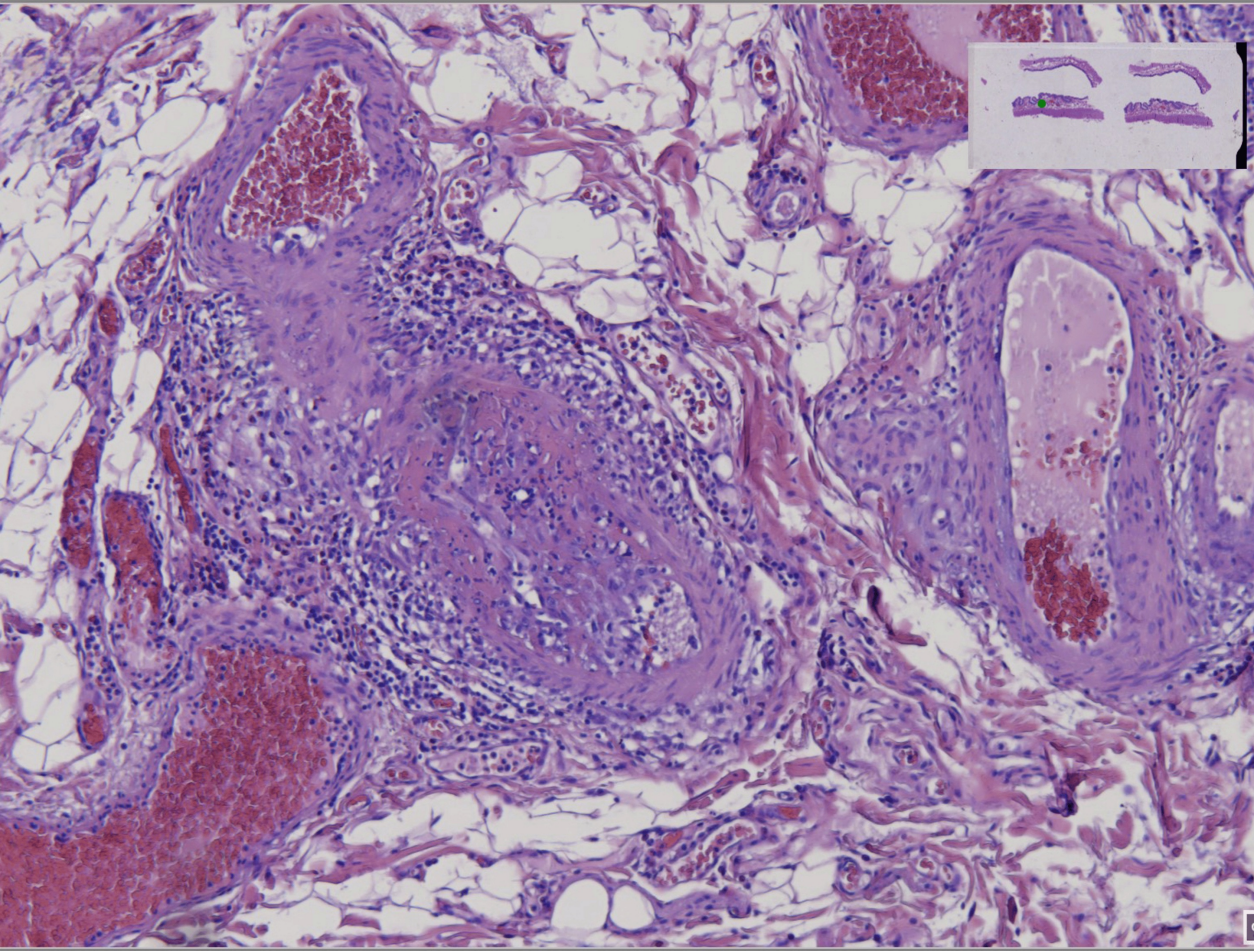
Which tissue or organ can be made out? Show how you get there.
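Adipose tissue. Large empty polygonal spaces with thin pink walls fill the upper left and the top. Blood vessels run between these empty polygonal cells.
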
